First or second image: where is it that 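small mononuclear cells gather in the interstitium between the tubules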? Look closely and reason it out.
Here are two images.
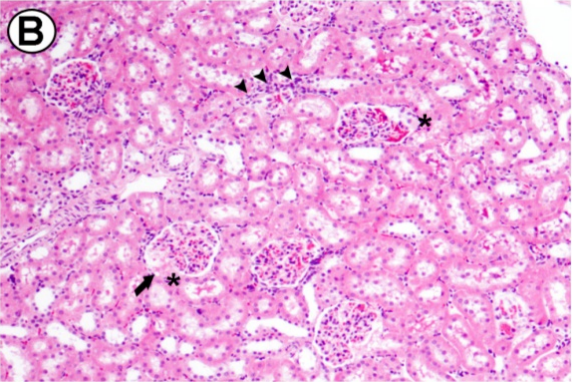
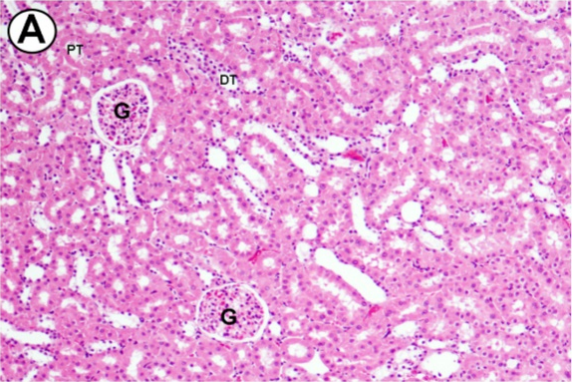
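First image: a cluster of small dark round nuclei lies between tubules in the upper part of the field. The answer: the first image.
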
